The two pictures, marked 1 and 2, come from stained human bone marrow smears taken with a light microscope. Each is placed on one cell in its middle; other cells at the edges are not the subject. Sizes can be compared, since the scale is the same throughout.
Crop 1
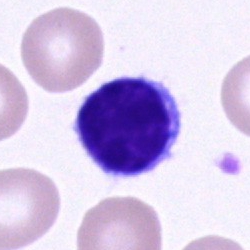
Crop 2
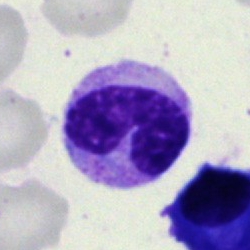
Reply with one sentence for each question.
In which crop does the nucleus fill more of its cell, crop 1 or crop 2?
The nucleus fills more of the cell in crop 1 than in crop 2.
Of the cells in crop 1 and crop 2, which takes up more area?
Crop 2 holds the larger cell; it covers about 1.5 times the area of the cell in crop 1.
